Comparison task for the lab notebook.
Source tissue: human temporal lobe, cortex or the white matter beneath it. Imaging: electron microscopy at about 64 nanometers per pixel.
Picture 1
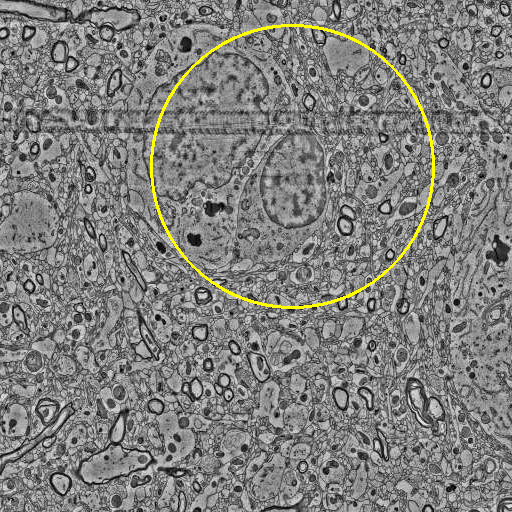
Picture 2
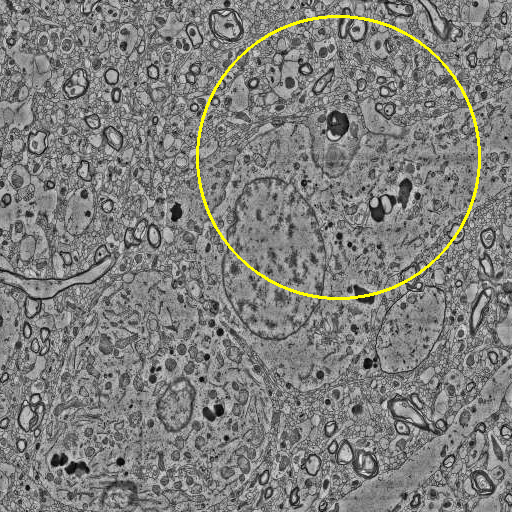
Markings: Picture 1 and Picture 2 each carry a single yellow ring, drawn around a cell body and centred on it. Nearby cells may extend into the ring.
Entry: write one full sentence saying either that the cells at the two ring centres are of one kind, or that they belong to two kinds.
The cells sitting at the ring centres in Picture 1 and Picture 2 are of one kind.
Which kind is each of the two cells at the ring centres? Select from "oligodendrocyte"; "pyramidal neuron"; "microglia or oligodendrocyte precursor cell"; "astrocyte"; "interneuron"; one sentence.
Each of the two rings surrounds an oligodendrocyte.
